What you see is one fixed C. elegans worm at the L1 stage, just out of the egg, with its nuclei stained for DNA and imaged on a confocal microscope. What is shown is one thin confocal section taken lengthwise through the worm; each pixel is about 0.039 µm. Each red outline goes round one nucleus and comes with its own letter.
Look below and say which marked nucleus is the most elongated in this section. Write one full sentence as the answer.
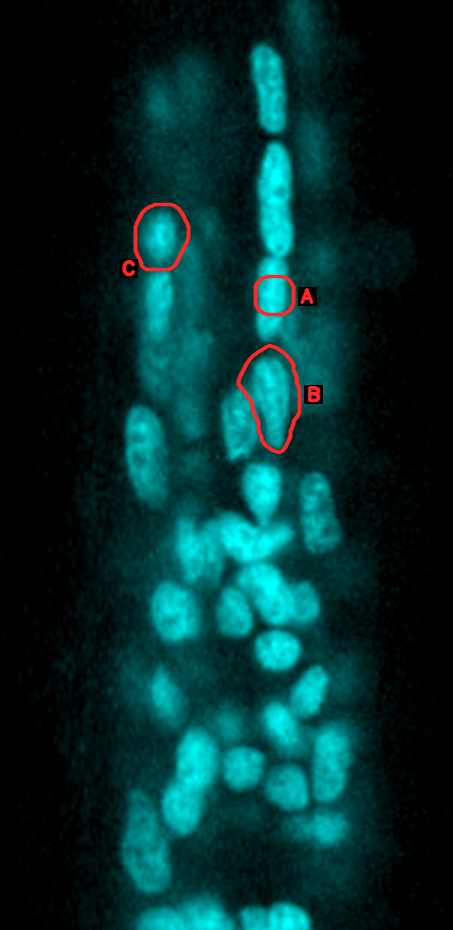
Nucleus B is the longest relative to its width.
